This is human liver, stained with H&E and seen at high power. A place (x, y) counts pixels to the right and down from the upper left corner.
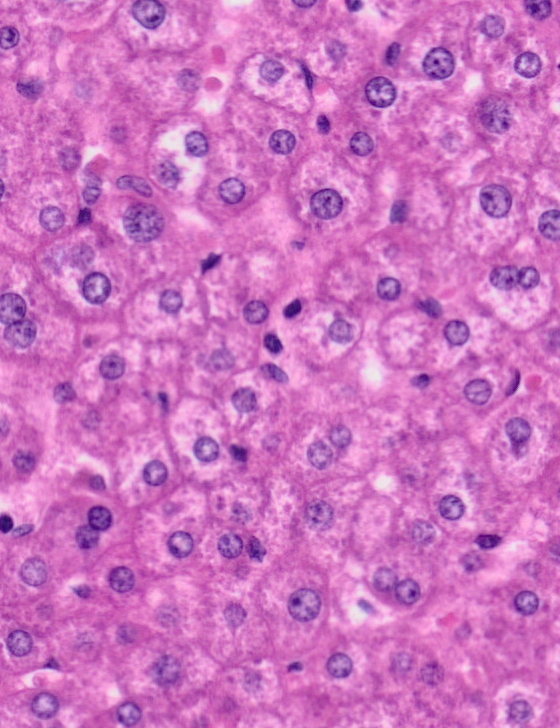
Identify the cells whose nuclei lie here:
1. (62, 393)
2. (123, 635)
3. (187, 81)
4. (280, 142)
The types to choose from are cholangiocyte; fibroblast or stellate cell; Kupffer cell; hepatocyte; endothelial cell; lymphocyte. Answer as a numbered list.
1. endothelial cell
2. hepatocyte
3. hepatocyte
4. hepatocyte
